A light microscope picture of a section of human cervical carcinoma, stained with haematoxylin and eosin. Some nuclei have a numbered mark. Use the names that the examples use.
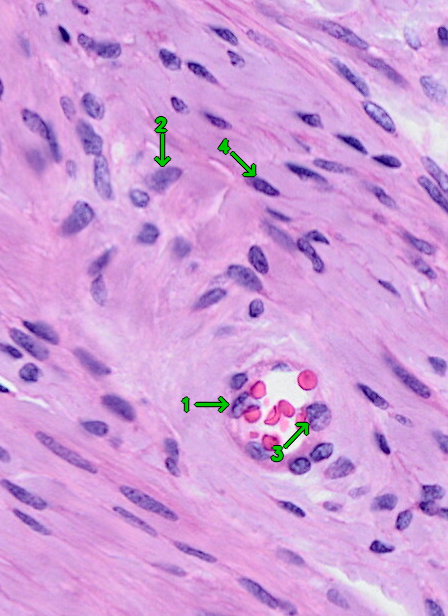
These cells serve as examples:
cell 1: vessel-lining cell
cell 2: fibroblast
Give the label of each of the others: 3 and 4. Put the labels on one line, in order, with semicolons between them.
vessel-lining cell; fibroblast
